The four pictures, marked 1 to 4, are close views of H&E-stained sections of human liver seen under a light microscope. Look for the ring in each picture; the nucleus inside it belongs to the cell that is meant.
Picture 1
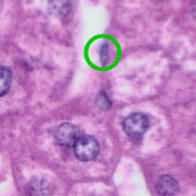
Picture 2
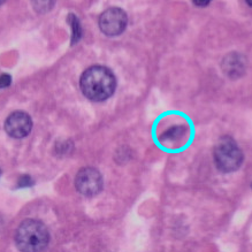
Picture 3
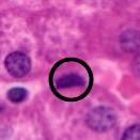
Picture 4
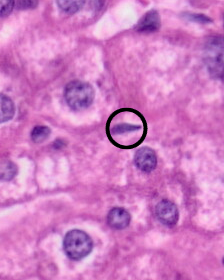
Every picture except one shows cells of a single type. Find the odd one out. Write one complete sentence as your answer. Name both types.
Picture 3 differs, because its cell is a “fibroblast or stellate cell” and the rest are endothelial cells.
